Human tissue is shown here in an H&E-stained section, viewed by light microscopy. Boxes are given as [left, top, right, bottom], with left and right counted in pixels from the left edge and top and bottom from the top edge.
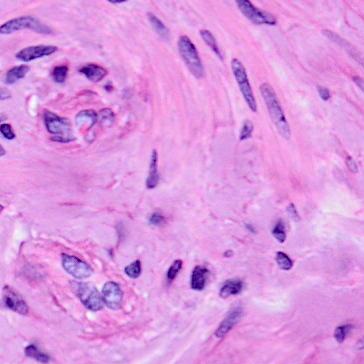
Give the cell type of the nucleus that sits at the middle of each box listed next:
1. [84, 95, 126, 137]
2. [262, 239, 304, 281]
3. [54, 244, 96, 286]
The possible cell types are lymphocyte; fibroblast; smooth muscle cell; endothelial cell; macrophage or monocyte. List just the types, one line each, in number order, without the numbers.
endothelial cell
fibroblast
endothelial cell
